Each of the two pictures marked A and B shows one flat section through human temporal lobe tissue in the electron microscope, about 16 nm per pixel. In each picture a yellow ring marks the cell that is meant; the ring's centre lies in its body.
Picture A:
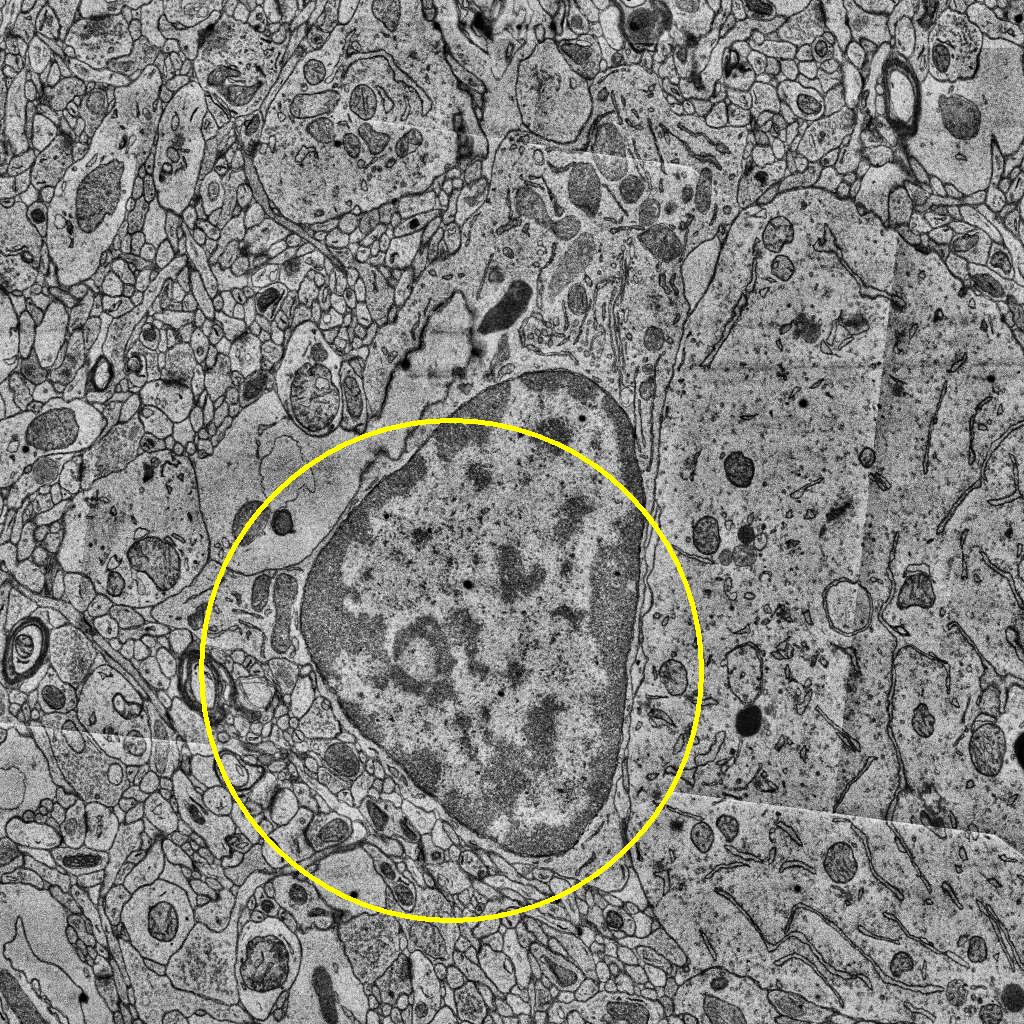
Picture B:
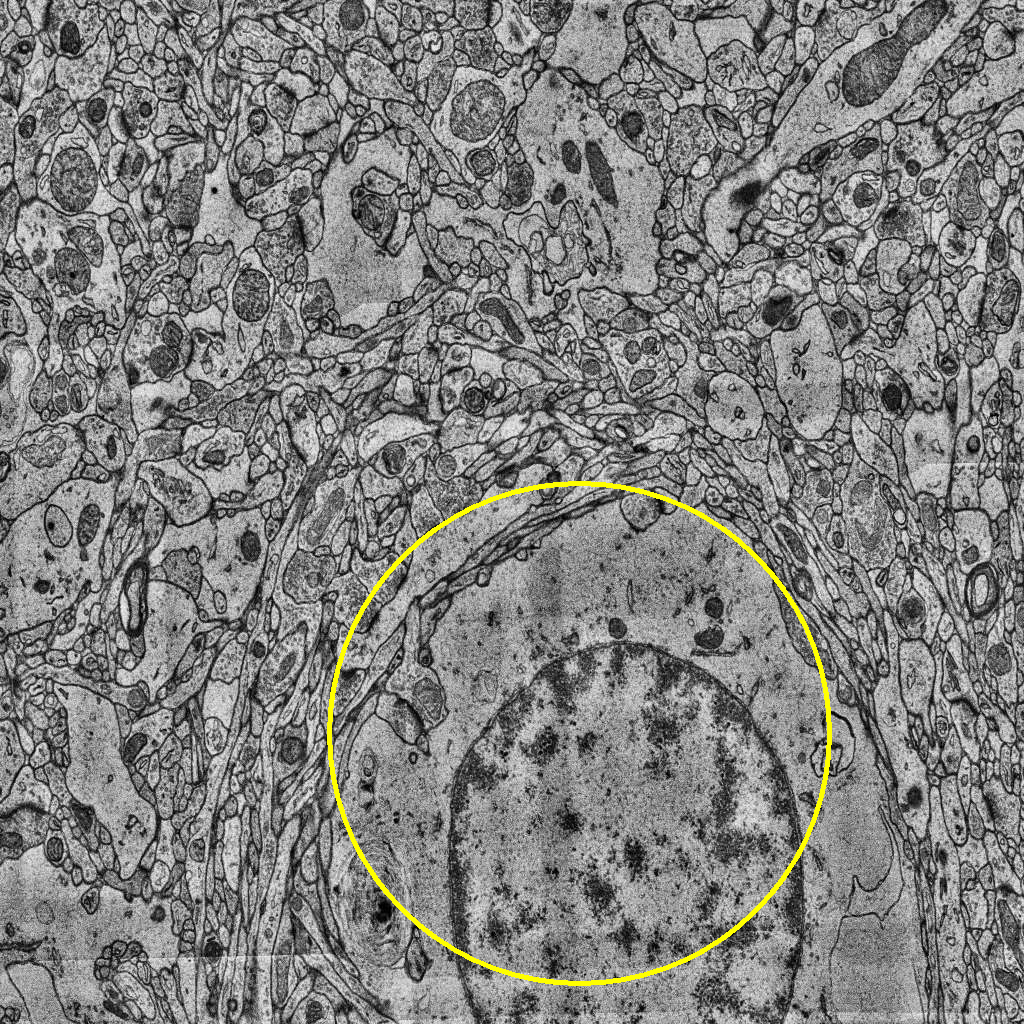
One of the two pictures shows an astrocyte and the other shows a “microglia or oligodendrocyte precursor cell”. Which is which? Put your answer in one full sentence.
Picture B shows an astrocyte, while picture A shows a “microglia or oligodendrocyte precursor cell”.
